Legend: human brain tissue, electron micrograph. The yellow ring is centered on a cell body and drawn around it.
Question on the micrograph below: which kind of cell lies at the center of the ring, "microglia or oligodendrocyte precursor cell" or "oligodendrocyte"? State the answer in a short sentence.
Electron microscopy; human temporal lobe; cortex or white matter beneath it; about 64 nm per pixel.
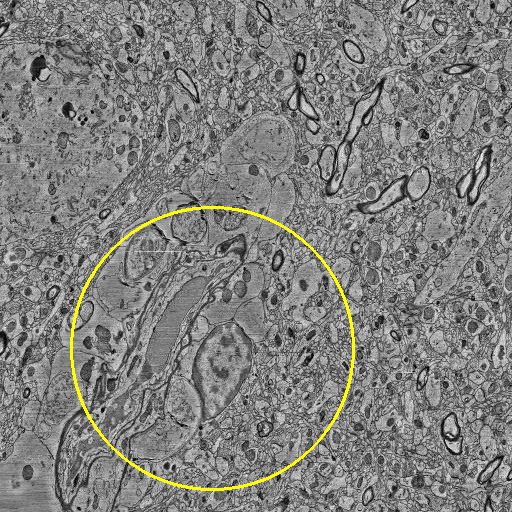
At the center of the ring lies a microglial cell or oligodendrocyte precursor cell.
